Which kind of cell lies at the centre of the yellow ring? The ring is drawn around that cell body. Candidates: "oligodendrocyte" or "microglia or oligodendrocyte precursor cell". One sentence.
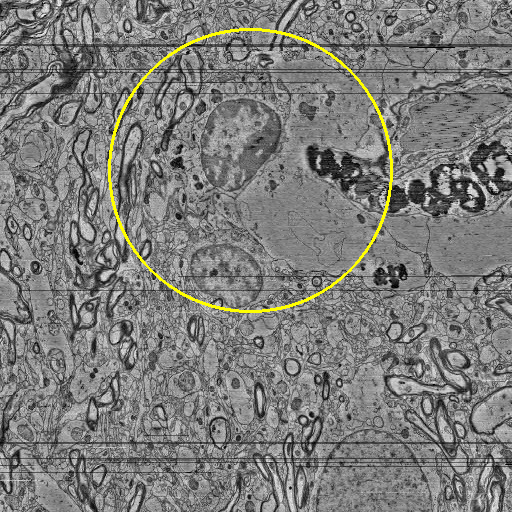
Lying at the centre of the ring is a microglial cell or oligodendrocyte precursor cell.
